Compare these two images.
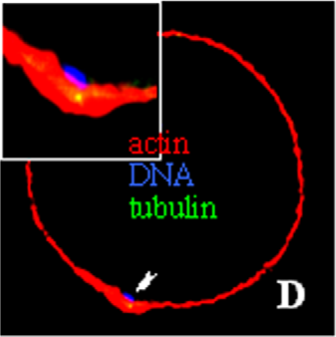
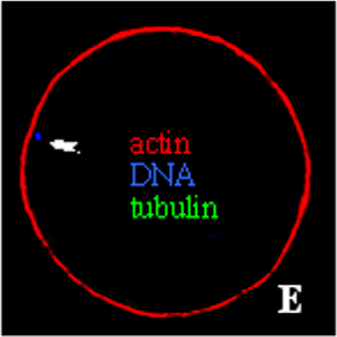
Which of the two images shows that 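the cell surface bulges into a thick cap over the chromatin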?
the first image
